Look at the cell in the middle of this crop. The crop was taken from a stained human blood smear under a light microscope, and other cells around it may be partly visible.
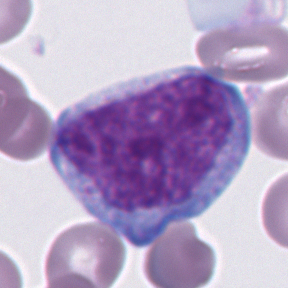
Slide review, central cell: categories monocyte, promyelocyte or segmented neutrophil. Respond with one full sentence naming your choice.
The middle of this crop holds a promyelocyte.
